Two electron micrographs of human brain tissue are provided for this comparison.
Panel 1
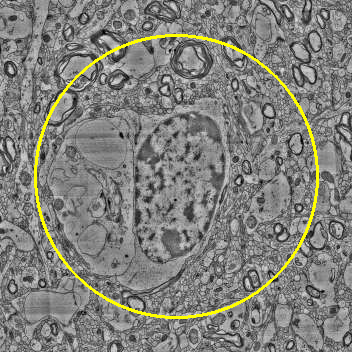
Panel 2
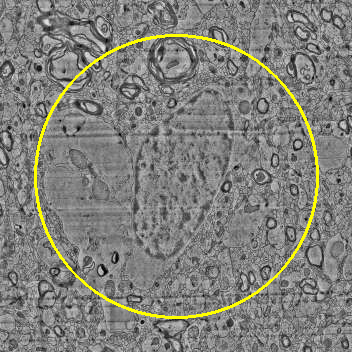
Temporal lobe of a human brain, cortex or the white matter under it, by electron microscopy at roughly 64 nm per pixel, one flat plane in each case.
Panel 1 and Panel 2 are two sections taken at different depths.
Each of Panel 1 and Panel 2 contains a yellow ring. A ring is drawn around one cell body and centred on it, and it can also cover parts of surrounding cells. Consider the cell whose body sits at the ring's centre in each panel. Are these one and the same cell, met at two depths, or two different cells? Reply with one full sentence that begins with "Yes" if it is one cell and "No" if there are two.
Yes, the two yellow circles hold the same cell.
